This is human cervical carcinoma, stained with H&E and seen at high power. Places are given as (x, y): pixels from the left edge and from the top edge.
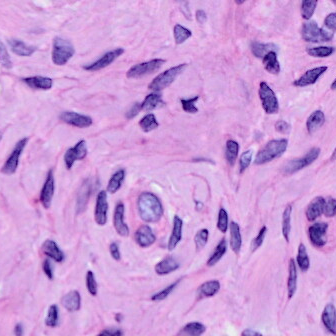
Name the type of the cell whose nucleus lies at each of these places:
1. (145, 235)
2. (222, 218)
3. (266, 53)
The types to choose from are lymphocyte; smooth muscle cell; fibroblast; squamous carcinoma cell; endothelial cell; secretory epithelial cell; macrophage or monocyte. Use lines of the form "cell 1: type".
cell 1: endothelial cell
cell 2: fibroblast
cell 3: fibroblast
